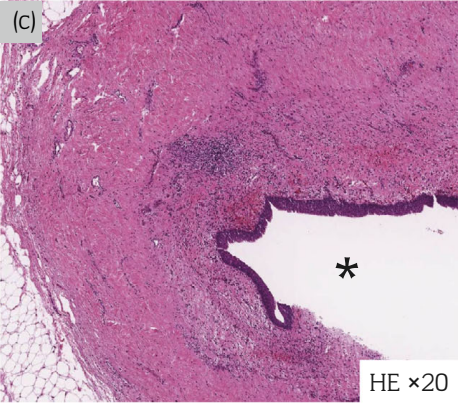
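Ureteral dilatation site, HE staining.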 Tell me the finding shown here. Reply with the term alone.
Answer: mild inflammatory cell infiltration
